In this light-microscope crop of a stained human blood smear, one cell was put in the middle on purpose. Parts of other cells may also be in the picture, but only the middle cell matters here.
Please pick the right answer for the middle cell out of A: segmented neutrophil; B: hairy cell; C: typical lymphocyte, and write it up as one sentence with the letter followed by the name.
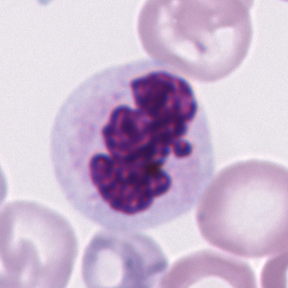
At the centre of the crop lies a segmented neutrophil, which makes option A correct.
